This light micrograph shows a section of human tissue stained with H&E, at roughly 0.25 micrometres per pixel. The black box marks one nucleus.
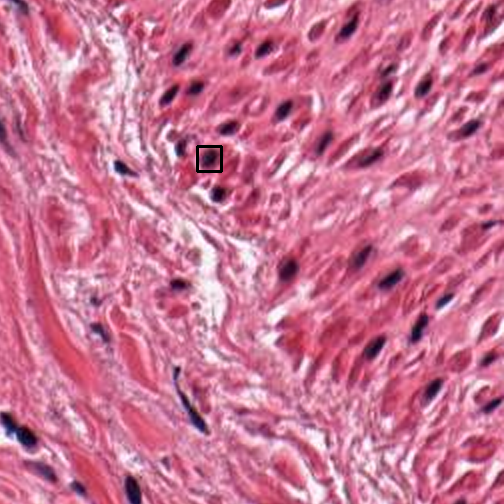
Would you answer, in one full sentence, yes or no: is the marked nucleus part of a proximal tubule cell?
No, the marked nucleus is not a component of a proximal tubule cell.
